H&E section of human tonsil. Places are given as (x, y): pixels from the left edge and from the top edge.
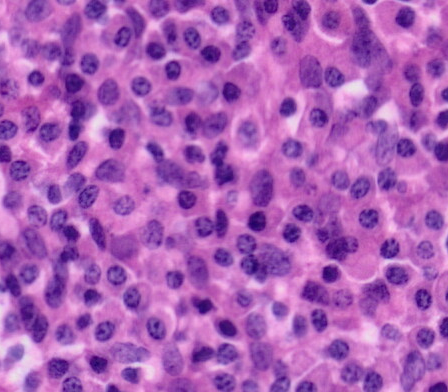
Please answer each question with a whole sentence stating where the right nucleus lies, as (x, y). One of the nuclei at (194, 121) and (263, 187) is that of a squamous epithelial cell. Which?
Belonging to a squamous epithelial cell is the nucleus at (263, 187).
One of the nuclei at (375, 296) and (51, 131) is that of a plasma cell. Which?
It is the nucleus at (51, 131) that forms part of a plasma cell.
